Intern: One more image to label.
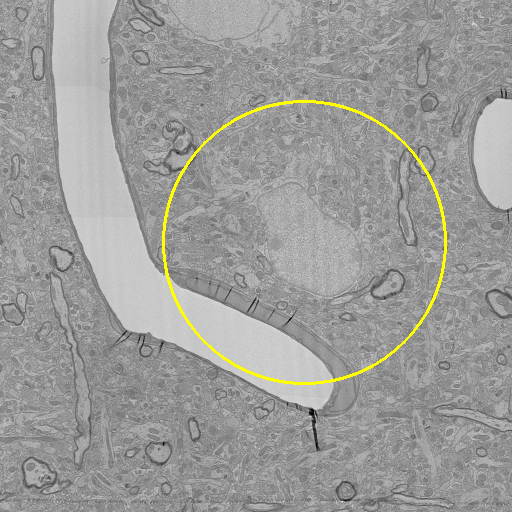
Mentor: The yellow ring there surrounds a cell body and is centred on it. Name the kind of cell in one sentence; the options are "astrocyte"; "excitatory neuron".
The ring marks the cell body of an astrocyte.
